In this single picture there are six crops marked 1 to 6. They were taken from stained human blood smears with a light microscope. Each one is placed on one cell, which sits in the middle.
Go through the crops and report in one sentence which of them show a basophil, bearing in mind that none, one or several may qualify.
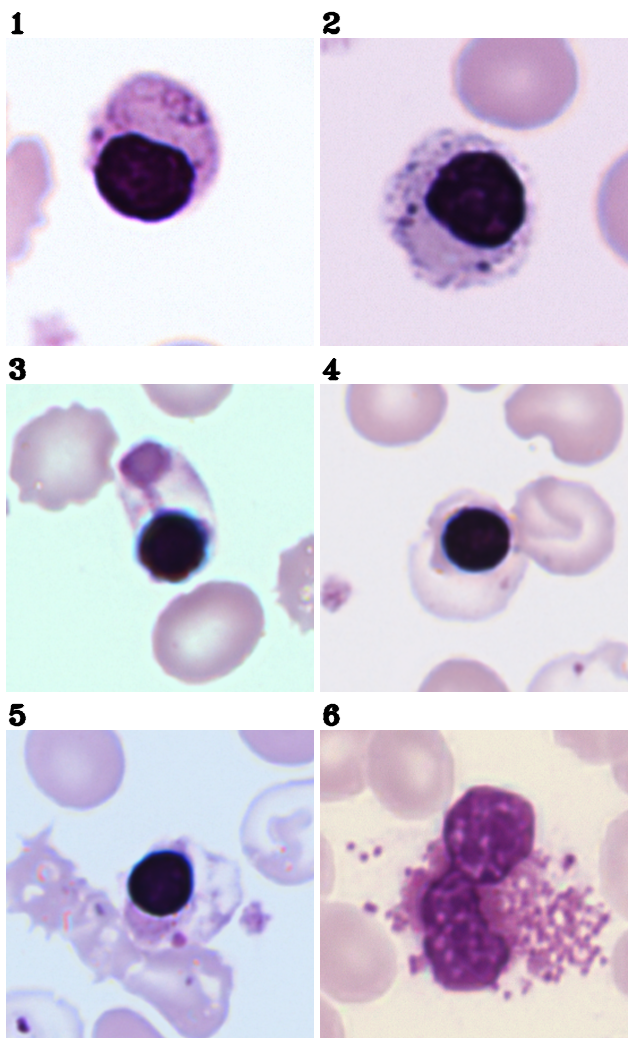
Findings: not one crop in the series shows a basophil.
